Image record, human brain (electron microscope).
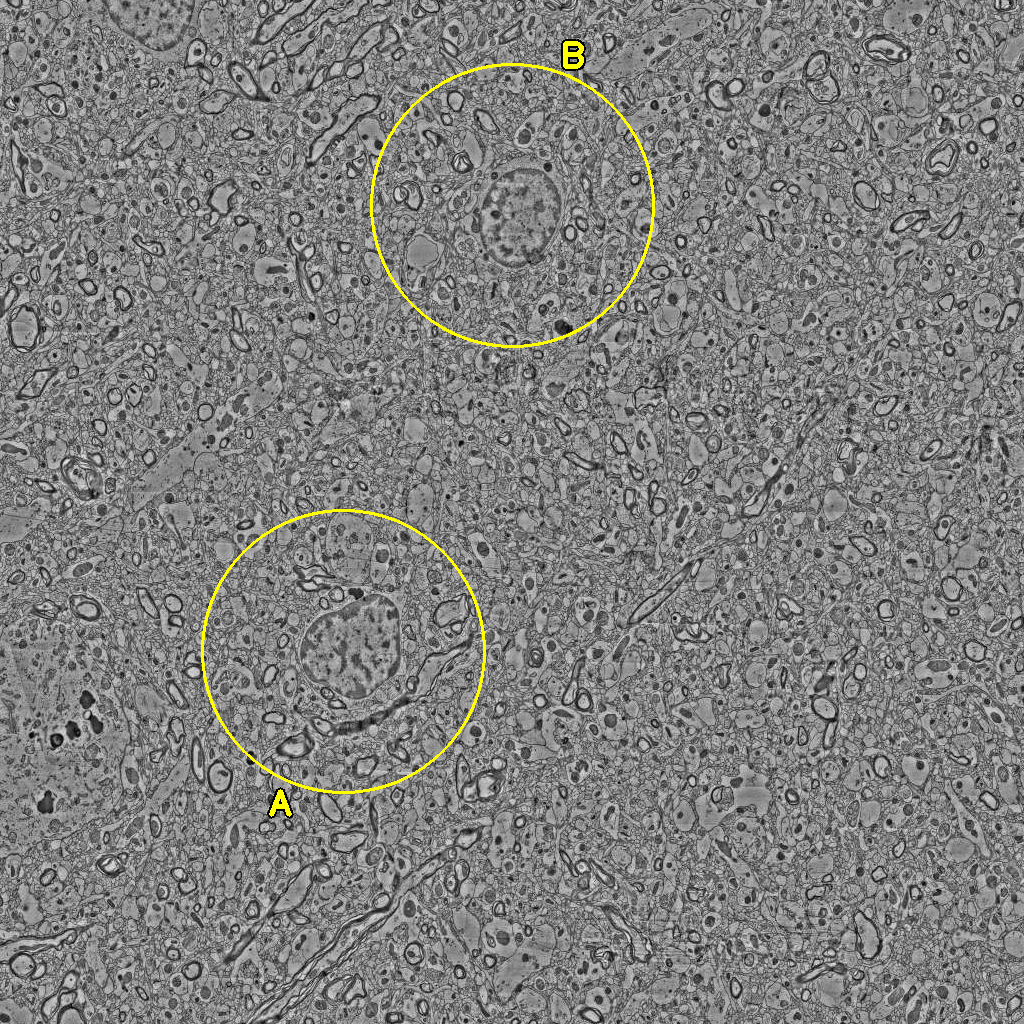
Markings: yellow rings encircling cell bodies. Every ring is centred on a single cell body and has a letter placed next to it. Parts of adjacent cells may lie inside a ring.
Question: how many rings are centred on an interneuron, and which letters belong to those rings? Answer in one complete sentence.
The count is zero, given that no ring here is centred on an interneuron.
